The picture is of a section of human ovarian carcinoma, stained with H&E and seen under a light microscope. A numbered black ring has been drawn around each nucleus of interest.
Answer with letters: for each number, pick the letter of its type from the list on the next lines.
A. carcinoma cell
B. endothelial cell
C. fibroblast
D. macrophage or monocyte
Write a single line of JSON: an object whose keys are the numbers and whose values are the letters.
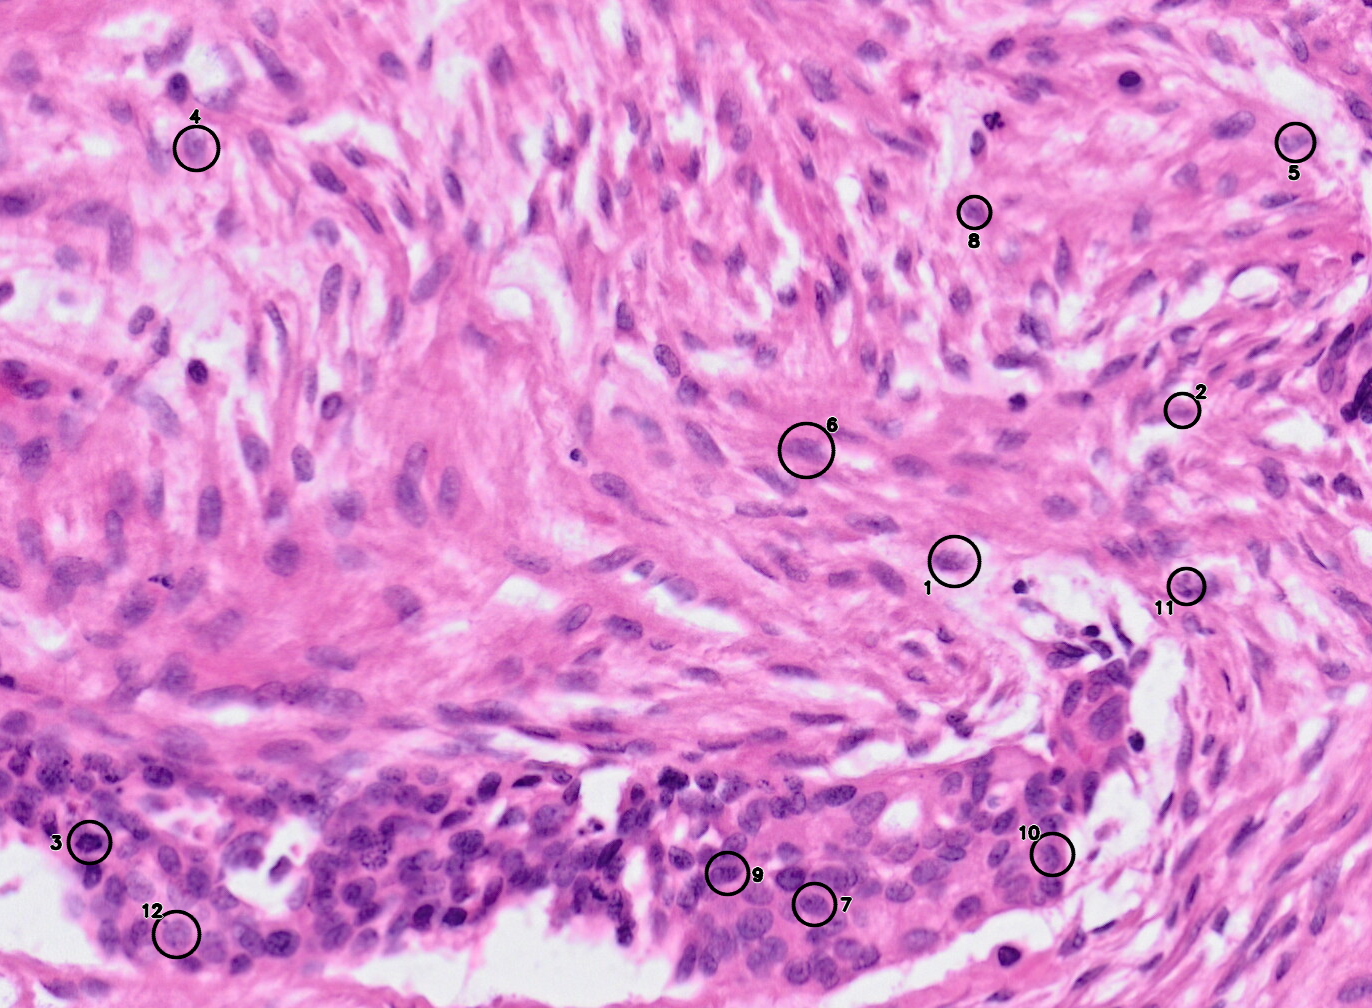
{"1": "C", "2": "C", "3": "A", "4": "C", "5": "C", "6": "C", "7": "A", "8": "C", "9": "A", "10": "A", "11": "C", "12": "A"}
